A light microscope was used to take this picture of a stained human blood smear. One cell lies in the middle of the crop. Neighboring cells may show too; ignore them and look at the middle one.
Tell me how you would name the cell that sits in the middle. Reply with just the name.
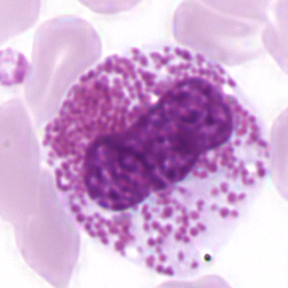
eosinophil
